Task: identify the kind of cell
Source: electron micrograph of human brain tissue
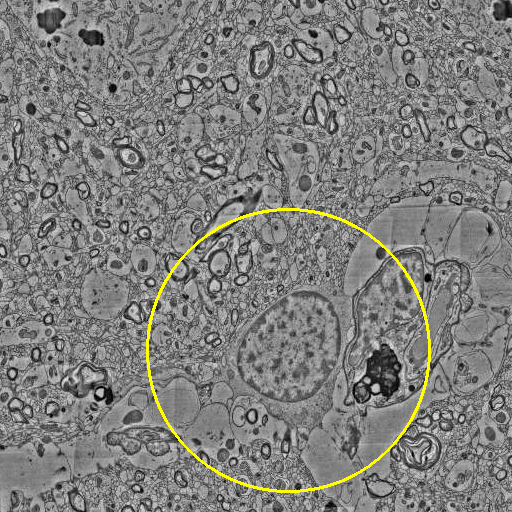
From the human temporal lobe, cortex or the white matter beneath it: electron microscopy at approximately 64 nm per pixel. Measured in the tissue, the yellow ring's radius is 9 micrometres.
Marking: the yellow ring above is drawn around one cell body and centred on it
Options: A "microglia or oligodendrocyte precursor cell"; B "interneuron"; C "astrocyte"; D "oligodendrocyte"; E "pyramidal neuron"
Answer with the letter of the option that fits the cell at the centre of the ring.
D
